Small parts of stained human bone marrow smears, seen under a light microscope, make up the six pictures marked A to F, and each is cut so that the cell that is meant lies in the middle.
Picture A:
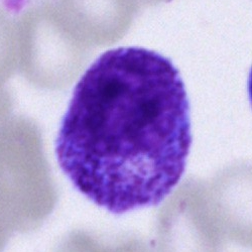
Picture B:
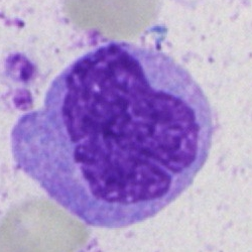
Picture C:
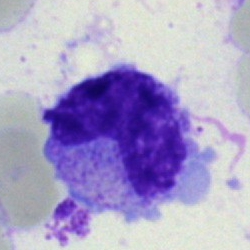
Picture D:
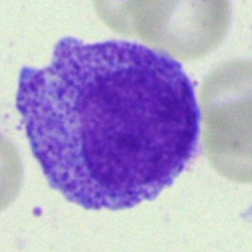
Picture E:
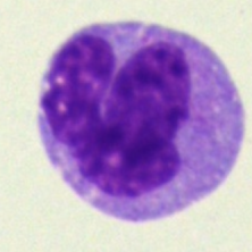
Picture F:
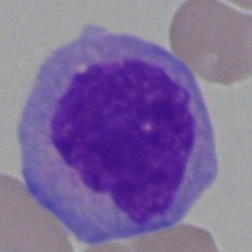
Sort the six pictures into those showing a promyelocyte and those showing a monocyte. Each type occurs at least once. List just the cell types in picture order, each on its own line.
promyelocyte
monocyte
monocyte
promyelocyte
monocyte
monocyte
